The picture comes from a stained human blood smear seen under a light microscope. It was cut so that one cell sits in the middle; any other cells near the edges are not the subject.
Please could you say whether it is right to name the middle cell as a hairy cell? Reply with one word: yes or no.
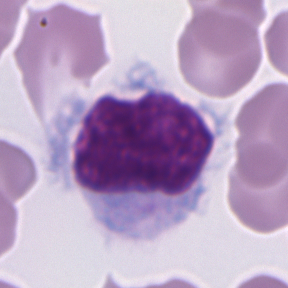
yes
